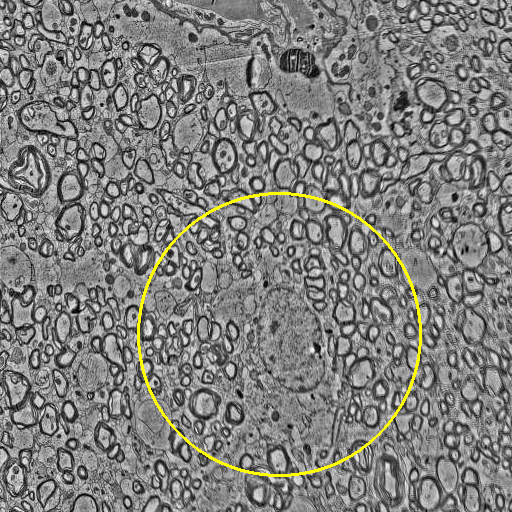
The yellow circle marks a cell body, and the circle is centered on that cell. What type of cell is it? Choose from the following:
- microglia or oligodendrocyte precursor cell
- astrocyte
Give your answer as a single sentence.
This cell body belongs to an astrocyte.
